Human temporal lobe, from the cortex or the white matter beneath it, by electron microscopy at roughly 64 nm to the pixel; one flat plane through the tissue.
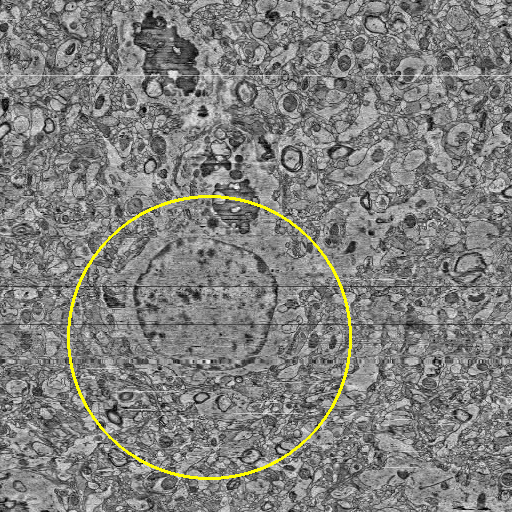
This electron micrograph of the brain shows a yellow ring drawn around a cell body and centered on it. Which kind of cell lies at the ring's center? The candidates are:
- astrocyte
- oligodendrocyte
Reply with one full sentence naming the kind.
The cell lying at the ring's center in this micrograph is an astrocyte.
